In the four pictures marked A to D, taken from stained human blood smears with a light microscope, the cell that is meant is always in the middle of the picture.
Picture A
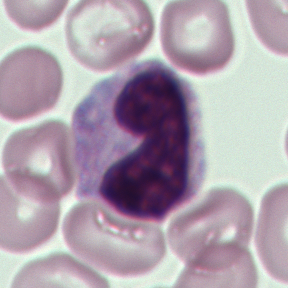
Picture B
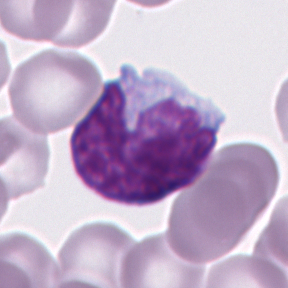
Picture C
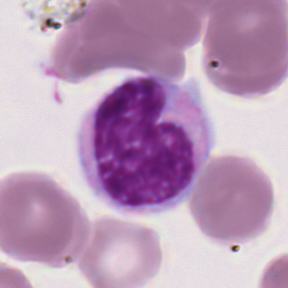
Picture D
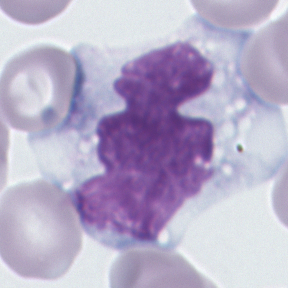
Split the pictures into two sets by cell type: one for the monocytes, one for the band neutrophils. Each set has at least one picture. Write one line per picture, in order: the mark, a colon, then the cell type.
A: band neutrophil
B: monocyte
C: band neutrophil
D: monocyte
